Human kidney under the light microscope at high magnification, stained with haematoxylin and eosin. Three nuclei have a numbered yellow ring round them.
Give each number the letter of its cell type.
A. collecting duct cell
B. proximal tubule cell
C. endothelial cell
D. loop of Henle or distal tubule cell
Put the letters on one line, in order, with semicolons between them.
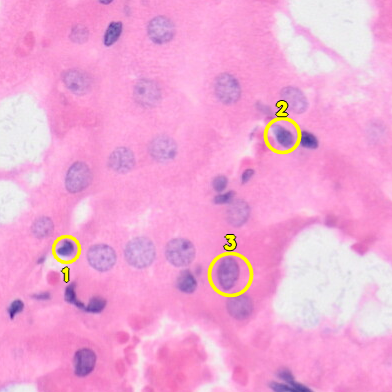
C; C; B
